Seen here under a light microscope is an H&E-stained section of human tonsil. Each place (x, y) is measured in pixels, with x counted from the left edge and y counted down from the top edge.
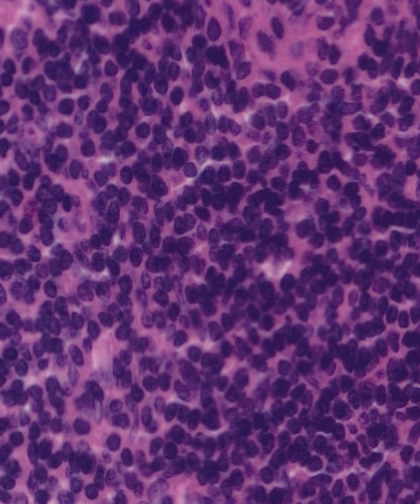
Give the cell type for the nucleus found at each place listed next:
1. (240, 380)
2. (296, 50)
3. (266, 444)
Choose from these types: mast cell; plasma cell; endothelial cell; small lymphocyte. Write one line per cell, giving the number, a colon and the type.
1: small lymphocyte
2: endothelial cell
3: small lymphocyte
